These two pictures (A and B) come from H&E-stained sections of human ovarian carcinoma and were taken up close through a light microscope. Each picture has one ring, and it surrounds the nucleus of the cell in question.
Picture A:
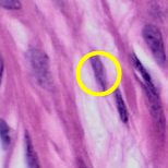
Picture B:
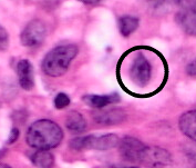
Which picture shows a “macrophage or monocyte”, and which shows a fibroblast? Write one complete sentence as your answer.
Picture A shows a fibroblast and picture B shows a “macrophage or monocyte”.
